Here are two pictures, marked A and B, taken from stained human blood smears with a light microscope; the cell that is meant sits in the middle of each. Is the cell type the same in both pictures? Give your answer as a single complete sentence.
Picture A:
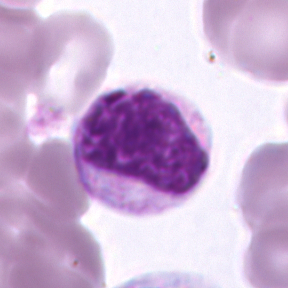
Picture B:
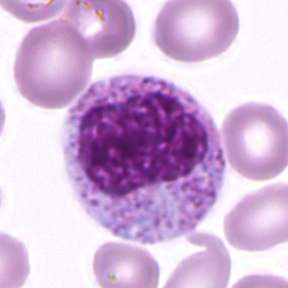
Yes, both are metamyelocytes.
